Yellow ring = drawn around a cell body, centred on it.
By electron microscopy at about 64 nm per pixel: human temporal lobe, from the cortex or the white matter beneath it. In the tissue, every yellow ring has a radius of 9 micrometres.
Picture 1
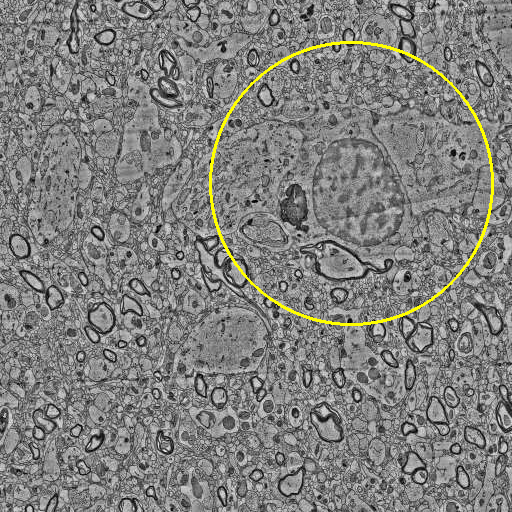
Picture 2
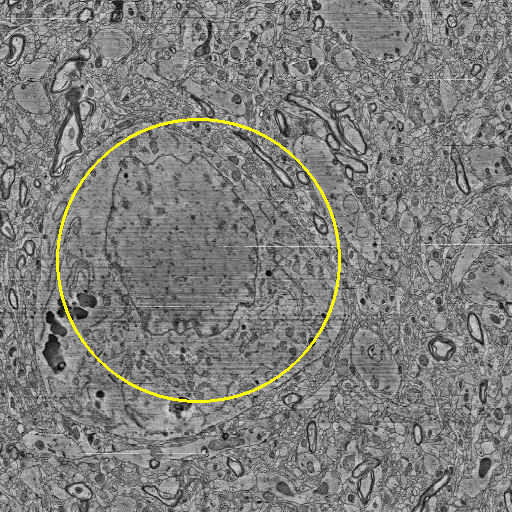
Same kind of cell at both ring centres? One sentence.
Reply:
No, they are two kinds of cell.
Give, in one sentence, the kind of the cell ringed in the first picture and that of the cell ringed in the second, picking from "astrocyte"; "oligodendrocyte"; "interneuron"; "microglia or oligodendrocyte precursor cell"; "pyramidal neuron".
For the first picture it is an oligodendrocyte; for the second, a pyramidal neuron.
